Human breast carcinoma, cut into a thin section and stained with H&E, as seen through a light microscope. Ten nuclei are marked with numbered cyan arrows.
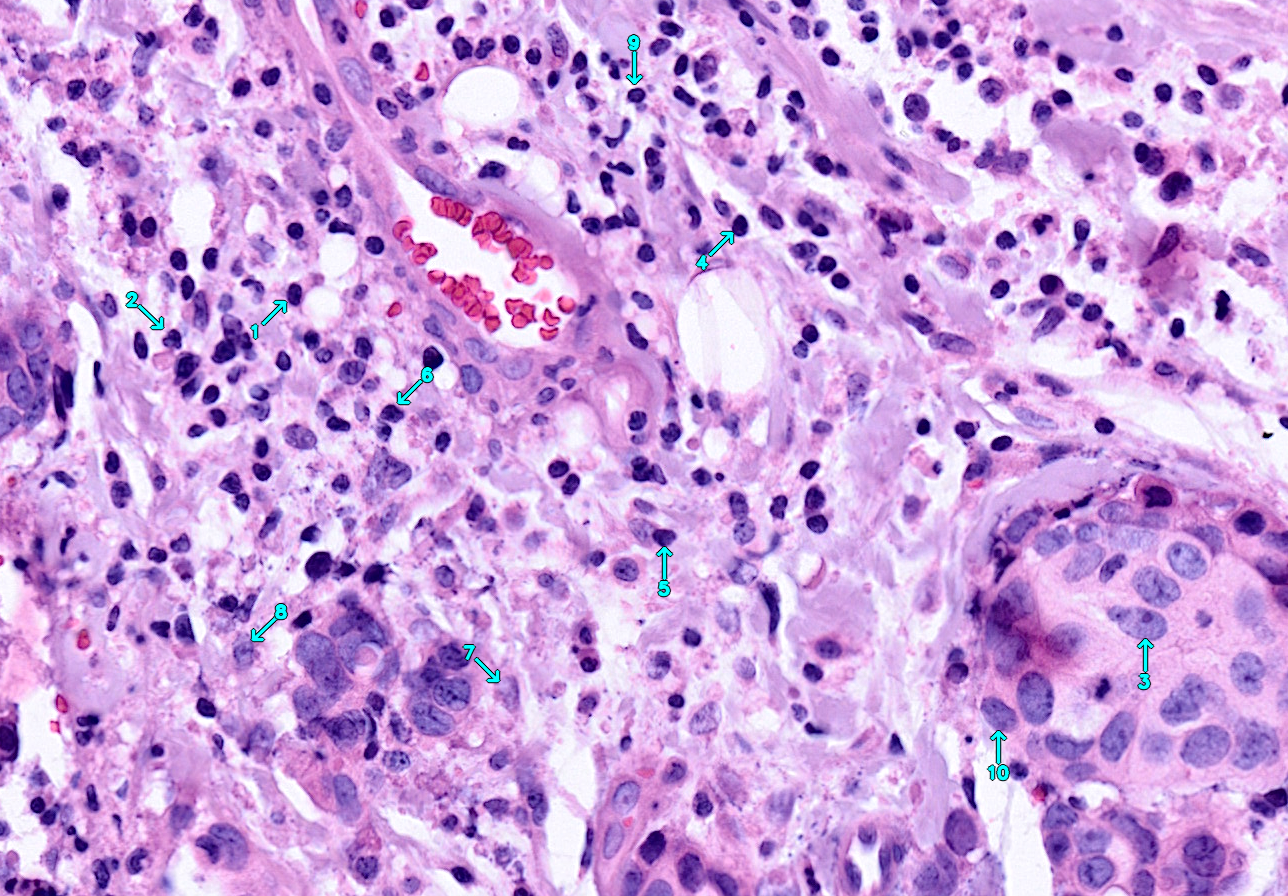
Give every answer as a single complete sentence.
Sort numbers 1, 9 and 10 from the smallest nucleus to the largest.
By area, going up from the smallest, they rank 9, 1, 10.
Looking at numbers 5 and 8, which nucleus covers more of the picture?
It is nucleus 8, which covers about 2 times the area of nucleus 5.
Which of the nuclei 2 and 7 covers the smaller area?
With nucleus 7 about 2 times its size, nucleus 2 is the smaller of the two.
